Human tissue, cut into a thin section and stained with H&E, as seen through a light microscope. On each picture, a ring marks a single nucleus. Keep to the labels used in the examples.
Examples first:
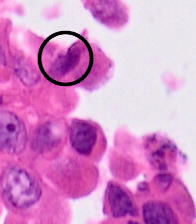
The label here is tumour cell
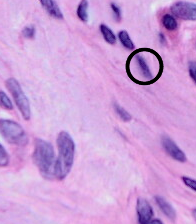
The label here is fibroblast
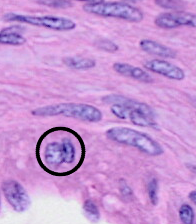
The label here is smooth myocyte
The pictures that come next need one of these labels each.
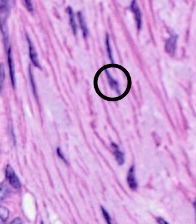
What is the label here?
fibroblast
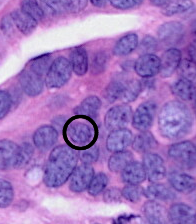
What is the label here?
tumour cell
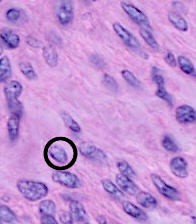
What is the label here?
smooth myocyte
